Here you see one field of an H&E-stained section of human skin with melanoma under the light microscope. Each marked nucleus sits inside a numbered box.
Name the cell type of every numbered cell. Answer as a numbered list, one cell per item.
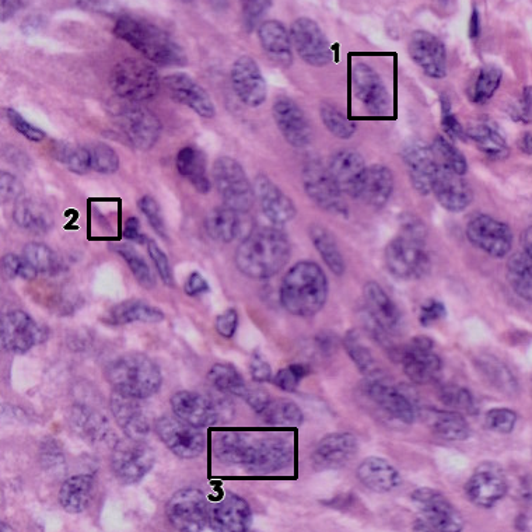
1. melanoma cell
2. endothelial cell
3. melanoma cell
